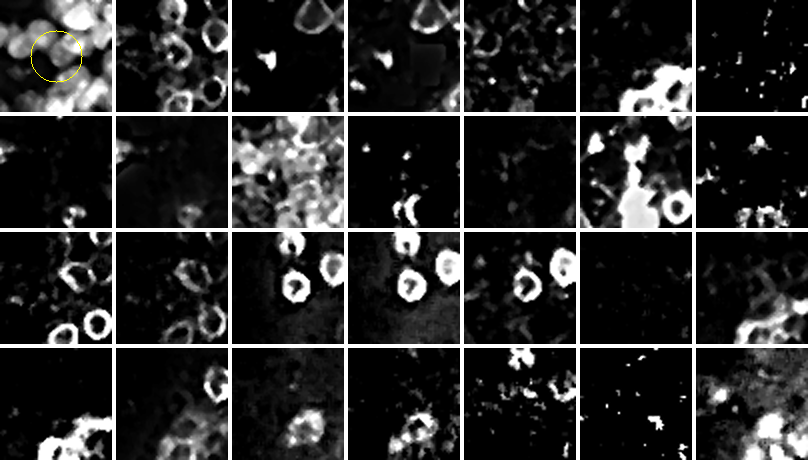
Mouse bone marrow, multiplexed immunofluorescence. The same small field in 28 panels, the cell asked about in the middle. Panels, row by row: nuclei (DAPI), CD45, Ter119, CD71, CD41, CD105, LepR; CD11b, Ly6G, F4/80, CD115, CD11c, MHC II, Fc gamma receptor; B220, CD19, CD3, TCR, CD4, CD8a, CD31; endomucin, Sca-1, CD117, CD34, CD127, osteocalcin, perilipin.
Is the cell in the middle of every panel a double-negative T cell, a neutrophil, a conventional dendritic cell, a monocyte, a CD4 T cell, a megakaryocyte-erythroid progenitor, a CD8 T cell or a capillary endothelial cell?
It is a CD4 T cell.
